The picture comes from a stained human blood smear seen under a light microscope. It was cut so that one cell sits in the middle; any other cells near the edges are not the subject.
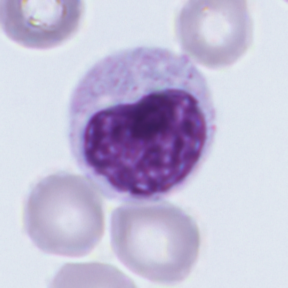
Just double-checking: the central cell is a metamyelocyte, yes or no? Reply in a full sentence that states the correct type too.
Yes, what sits in the middle of the crop is a metamyelocyte.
